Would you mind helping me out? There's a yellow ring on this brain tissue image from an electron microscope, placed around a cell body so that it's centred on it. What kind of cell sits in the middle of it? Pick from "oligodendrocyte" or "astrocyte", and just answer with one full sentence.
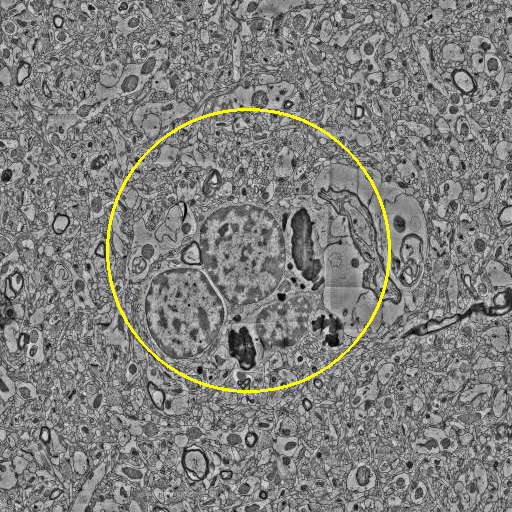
What sits in the middle of that yellow ring is an oligodendrocyte, from your choices.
